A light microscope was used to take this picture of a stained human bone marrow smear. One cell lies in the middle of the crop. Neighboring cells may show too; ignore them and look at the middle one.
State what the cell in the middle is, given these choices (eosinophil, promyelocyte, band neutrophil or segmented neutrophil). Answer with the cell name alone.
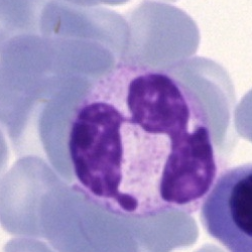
segmented neutrophil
